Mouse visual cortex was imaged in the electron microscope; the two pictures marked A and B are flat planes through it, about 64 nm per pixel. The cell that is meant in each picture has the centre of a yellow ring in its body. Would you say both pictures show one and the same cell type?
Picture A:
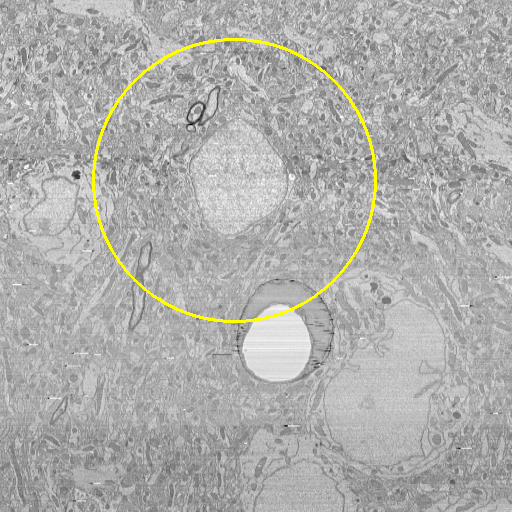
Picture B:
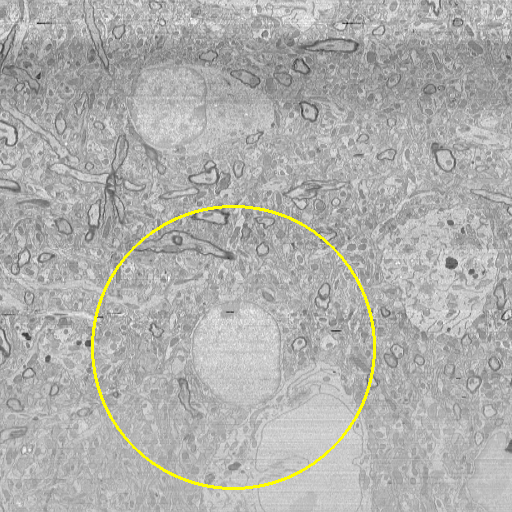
Yes, the two pictures both show astrocytes.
